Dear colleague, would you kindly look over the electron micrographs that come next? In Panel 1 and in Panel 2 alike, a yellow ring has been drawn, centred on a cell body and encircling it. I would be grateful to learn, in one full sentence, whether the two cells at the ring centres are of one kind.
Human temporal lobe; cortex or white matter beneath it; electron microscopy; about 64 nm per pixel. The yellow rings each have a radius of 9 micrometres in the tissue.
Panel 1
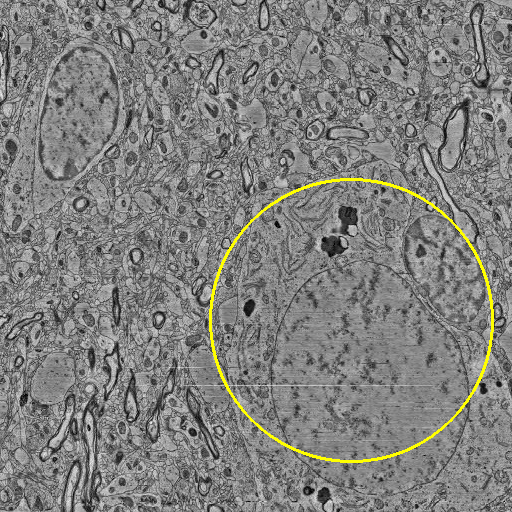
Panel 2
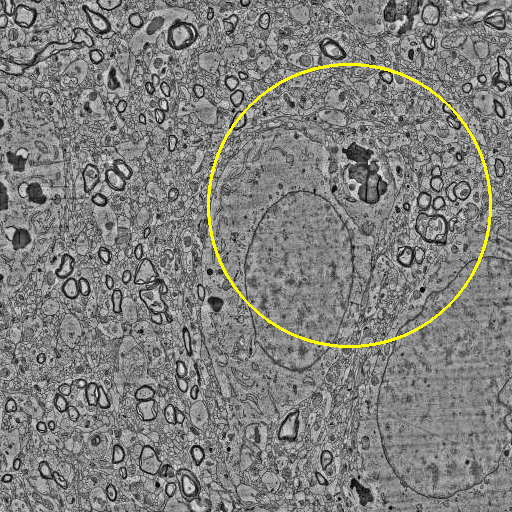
No, the cells in the middle of the rings in the two panels are of two kinds.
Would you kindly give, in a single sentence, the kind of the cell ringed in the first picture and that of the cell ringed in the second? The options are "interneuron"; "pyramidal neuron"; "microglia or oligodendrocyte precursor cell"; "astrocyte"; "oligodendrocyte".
The second cell is an oligodendrocyte, and the first cell is a pyramidal neuron.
